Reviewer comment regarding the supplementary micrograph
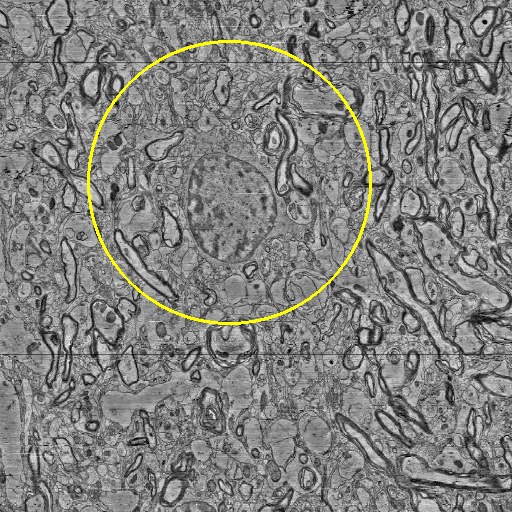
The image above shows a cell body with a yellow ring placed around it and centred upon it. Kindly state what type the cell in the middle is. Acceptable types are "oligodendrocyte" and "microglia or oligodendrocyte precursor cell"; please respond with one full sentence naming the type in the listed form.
In the image above, the cell on which the yellow ring is centred is an oligodendrocyte.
